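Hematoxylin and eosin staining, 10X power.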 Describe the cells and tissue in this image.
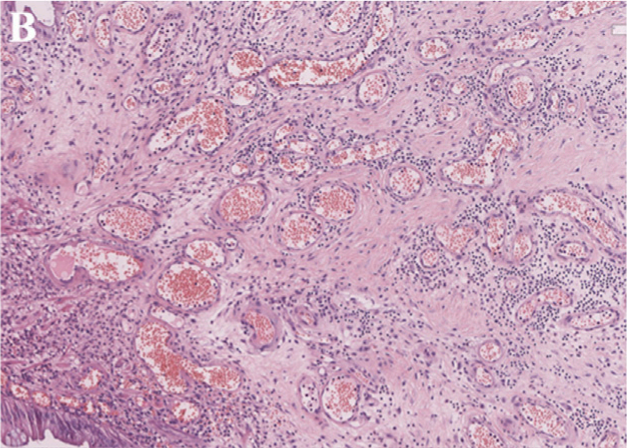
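This is inflammatory granulation tissue: a loose pink stroma crowded with many small, thin-walled blood vessels, most of them congested with red blood cells and cut in round and elongated profiles. Between the vessels lie spindle-shaped stromal cells and numerous small round dark nuclei of inflammatory cells, scattered singly and gathered into denser clusters, especially toward the right and lower left. A strip of surface epithelium is just visible at the lower left edge.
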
